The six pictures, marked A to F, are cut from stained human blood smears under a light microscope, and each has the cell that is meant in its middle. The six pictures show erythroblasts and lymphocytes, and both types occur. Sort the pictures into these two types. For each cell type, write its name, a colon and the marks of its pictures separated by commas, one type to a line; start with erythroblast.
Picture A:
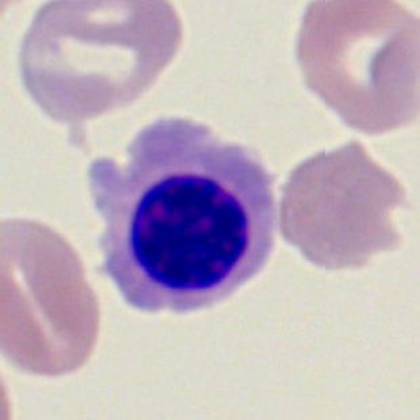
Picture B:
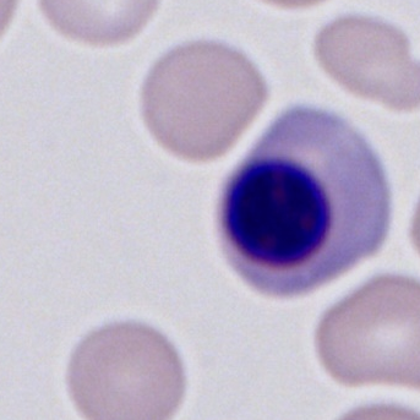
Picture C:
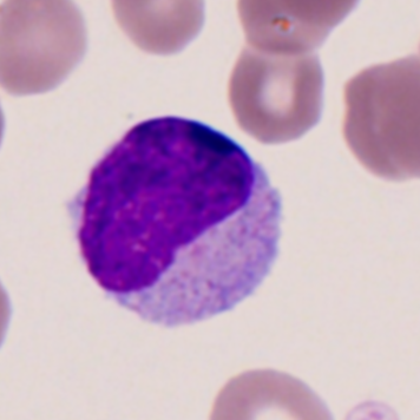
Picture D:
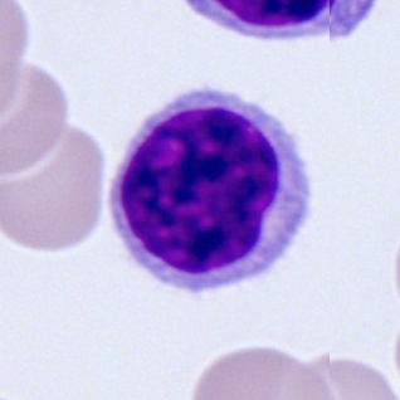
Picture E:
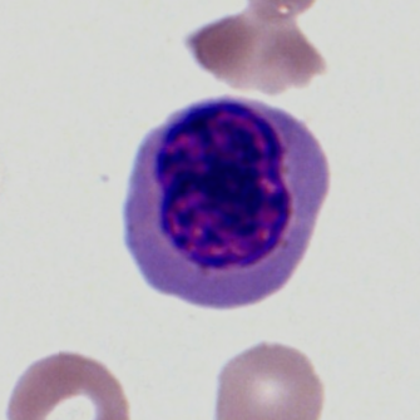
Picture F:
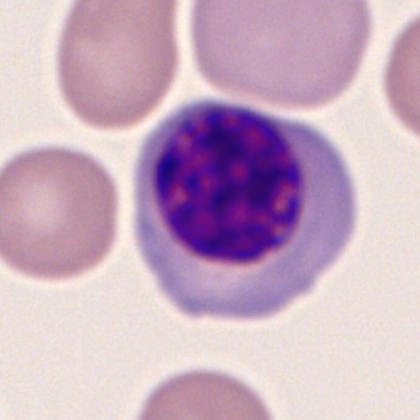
erythroblast: A, B, E, F
lymphocyte: C, D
